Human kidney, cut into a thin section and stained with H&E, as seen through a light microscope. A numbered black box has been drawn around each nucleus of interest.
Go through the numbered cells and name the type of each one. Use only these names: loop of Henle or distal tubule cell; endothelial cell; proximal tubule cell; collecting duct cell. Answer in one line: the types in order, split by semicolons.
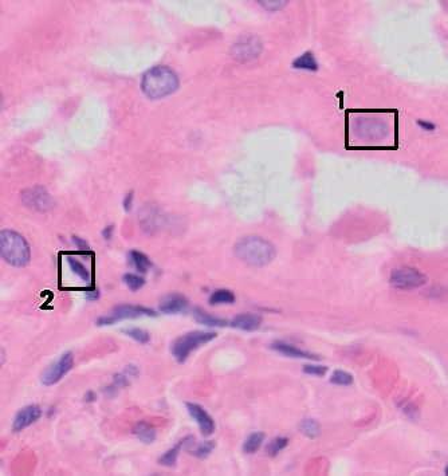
proximal tubule cell; endothelial cell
